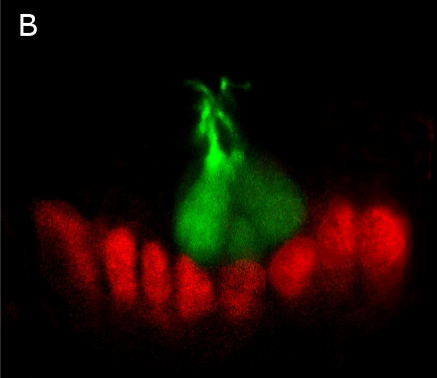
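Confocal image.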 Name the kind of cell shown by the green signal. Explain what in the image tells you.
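The green cells are pear-shaped and sit above a row of red nuclei. Thin green bundles project from the apical tips of the green cells.
Conclusion: hair cells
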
